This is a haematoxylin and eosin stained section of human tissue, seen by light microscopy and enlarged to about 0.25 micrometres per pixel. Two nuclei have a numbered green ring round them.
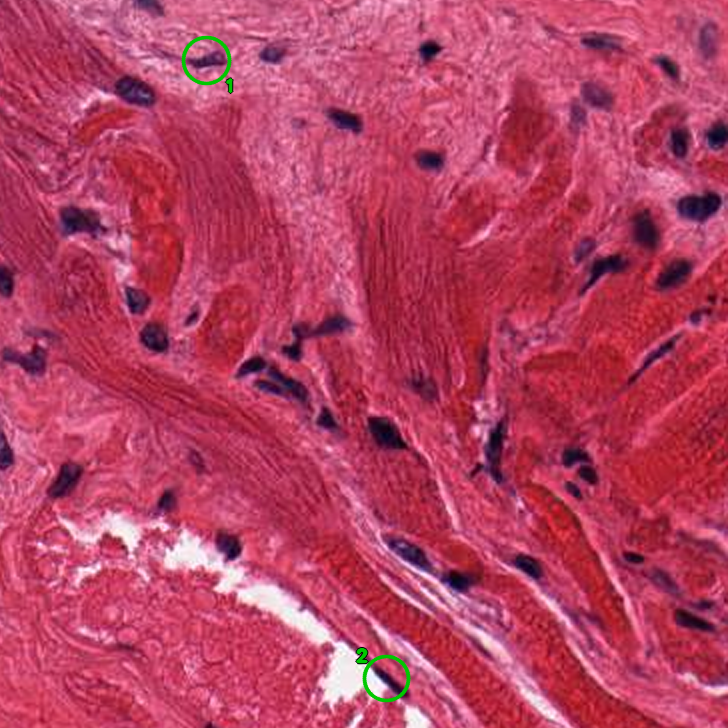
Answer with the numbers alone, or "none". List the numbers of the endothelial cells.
2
